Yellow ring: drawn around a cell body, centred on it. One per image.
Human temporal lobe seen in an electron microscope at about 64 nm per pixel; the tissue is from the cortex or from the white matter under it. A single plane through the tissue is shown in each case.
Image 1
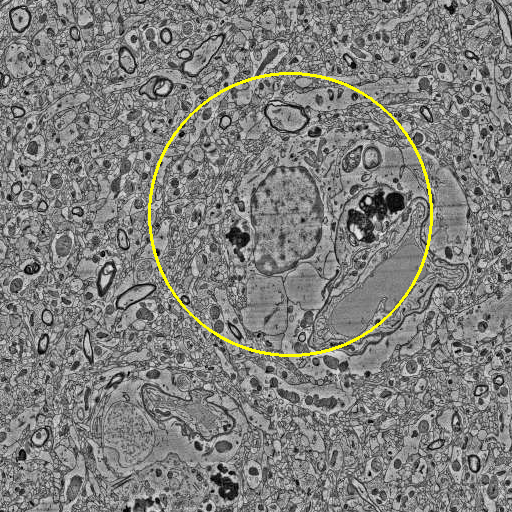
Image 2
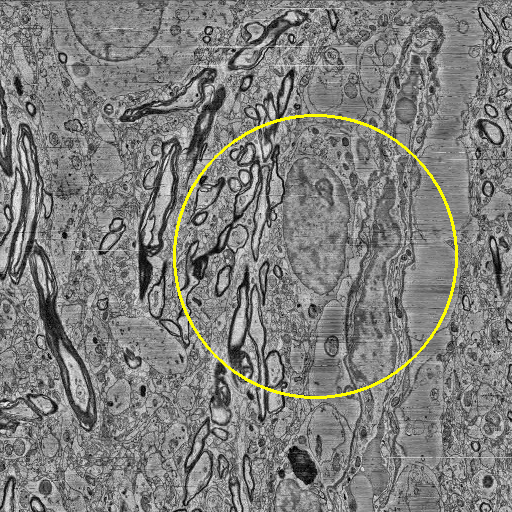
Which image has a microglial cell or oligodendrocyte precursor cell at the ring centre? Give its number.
1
